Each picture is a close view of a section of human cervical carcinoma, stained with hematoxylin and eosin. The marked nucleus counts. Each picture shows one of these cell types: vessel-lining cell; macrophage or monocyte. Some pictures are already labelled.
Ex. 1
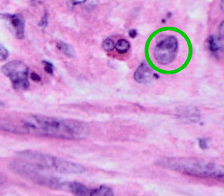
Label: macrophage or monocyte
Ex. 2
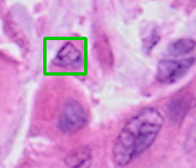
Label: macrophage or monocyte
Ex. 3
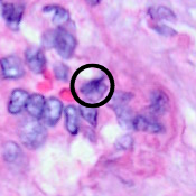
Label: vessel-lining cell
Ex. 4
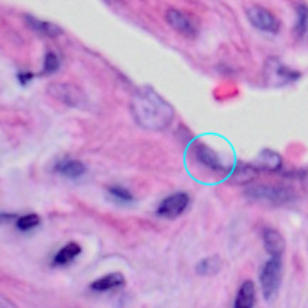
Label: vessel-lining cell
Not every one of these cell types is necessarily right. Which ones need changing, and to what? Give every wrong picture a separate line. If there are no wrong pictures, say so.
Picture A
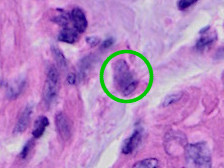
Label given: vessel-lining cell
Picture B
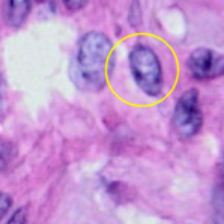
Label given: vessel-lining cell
A should be macrophage or monocyte, not vessel-lining cell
